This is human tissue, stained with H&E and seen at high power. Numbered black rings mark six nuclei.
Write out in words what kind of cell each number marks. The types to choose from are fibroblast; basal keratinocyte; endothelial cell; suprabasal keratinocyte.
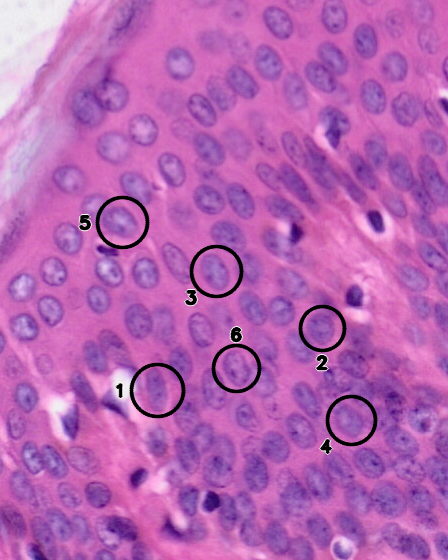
Cell 1 is a basal keratinocyte, cell 2 is a basal keratinocyte, cell 3 is a suprabasal keratinocyte, cell 4 is a suprabasal keratinocyte, cell 5 is a suprabasal keratinocyte and cell 6 is a suprabasal keratinocyte.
